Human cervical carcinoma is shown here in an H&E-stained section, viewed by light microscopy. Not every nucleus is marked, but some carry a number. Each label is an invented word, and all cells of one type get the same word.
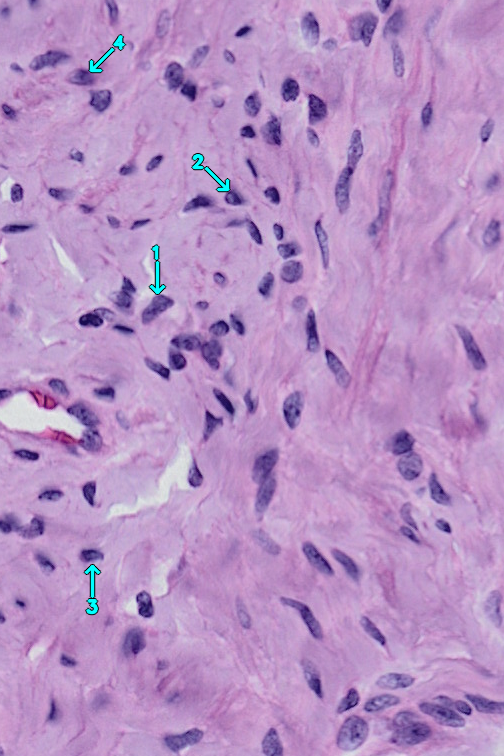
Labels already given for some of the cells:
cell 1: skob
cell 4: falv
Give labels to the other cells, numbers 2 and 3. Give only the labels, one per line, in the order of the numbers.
skob
skob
